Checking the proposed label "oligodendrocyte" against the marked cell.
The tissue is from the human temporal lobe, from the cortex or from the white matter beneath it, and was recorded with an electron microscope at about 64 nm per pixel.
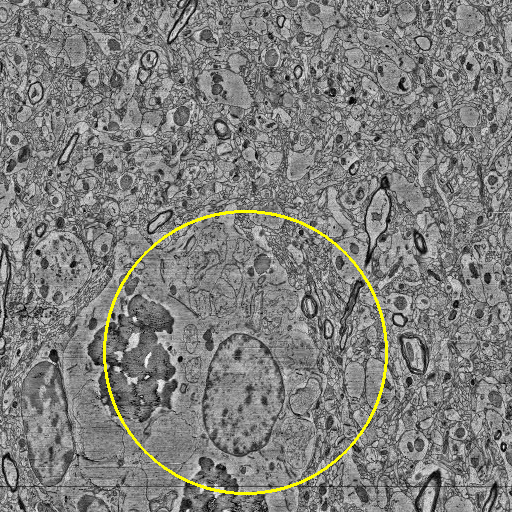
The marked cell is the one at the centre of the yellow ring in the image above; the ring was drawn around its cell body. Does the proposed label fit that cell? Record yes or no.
no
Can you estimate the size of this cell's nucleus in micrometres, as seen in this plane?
Approximately 8 micrometres long and 5 micrometres wide, so clearly longer than it is wide in this plane.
